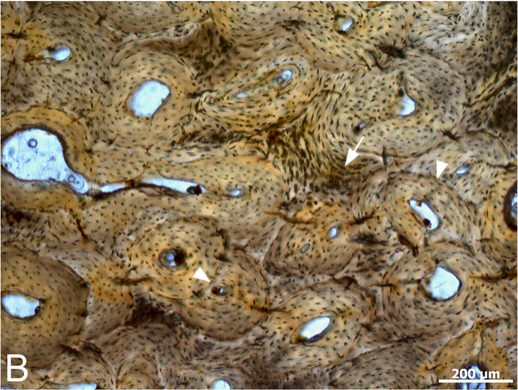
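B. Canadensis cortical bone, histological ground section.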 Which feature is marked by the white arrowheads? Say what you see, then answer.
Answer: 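Secondary osteons. Rounded units of bone with concentric layering around a central canal. Small dark lacunae are arranged in rings around the canals.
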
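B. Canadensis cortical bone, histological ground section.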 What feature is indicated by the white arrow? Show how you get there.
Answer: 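Dense cluster of dark spindle-shaped spaces in the matrix. That points to this answer: osteocyte lacunae.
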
